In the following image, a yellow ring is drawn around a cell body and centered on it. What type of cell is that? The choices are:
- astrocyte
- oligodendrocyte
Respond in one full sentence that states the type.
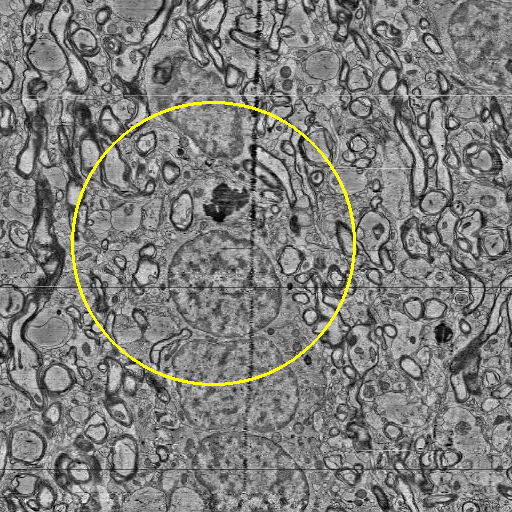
The cell at the center of the yellow ring in the image is an oligodendrocyte.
